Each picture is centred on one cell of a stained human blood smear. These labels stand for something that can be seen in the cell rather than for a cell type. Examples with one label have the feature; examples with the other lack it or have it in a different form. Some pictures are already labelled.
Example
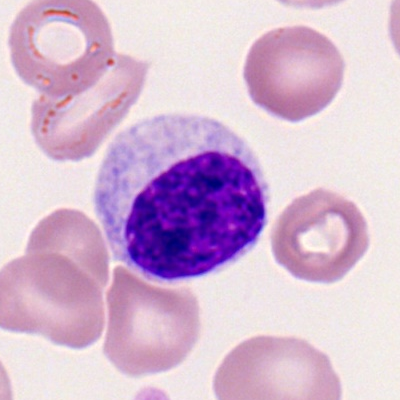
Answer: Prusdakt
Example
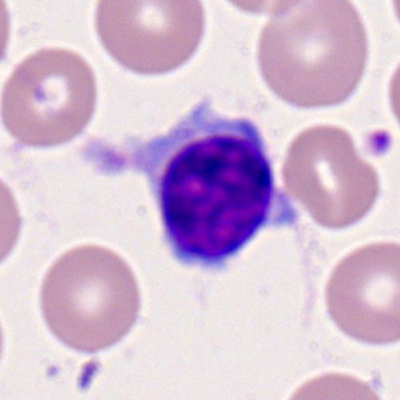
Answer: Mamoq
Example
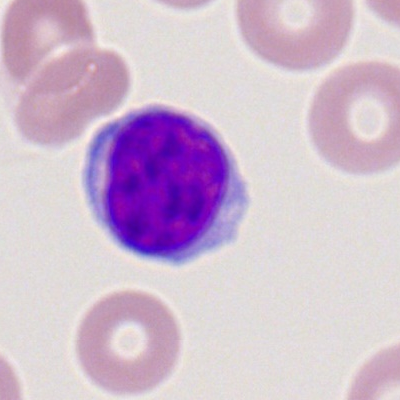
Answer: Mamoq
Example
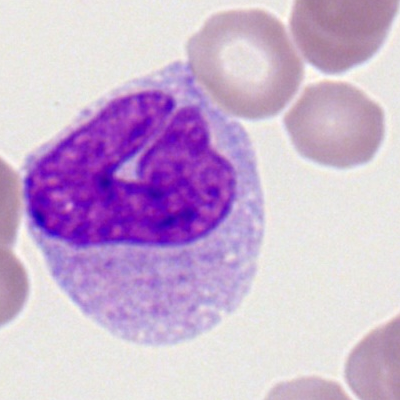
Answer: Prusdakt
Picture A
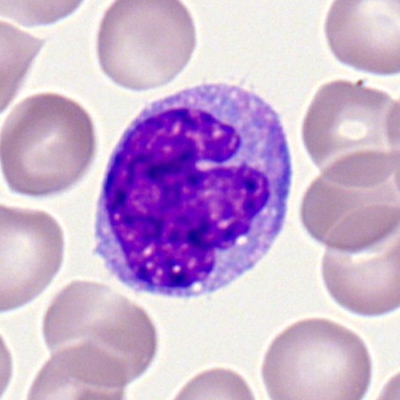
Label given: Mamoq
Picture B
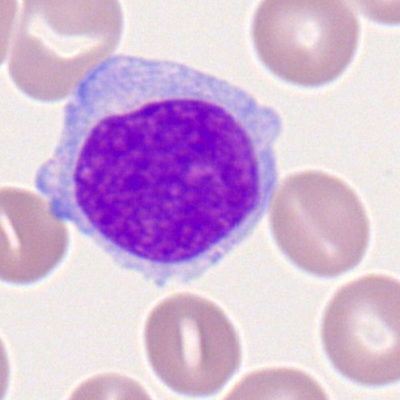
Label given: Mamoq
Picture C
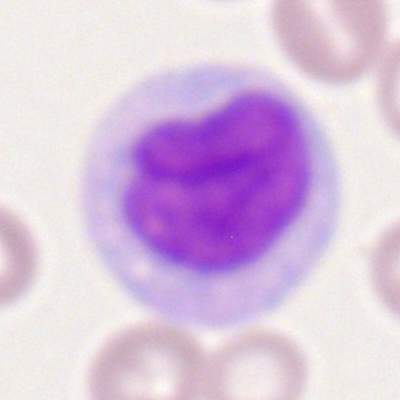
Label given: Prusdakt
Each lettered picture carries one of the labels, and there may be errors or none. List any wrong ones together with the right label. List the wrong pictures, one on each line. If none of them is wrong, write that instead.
Every label is right.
